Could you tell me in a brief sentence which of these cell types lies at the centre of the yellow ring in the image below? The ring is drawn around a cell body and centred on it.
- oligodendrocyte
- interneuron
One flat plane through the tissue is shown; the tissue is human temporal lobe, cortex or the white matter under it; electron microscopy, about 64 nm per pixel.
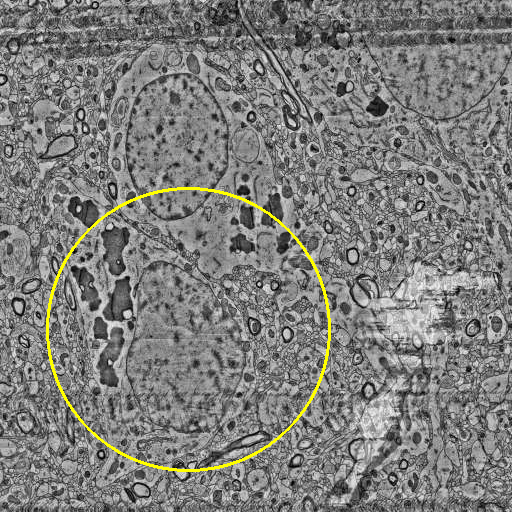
The cell centred in the ring is an interneuron.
